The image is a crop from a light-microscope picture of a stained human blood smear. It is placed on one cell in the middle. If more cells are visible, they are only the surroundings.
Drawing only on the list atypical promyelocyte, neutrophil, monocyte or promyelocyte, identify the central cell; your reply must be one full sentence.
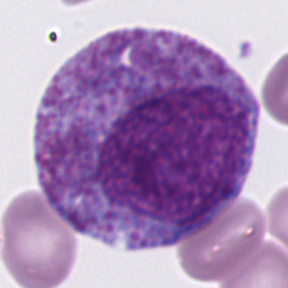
Classification of the middle cell gives a promyelocyte.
